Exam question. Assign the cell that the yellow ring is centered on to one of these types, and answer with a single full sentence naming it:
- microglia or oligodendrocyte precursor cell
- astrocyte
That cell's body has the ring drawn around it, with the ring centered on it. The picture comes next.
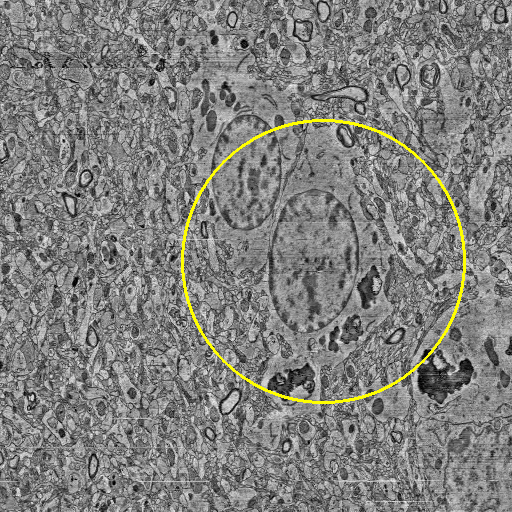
In the micrograph, the cell the yellow ring is centered on is an astrocyte.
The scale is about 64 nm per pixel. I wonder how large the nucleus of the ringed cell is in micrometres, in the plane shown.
Roughly 9 by 6 micrometres; in this plane, clearly longer than it is wide.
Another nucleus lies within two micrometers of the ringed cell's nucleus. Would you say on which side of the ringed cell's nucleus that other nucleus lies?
That nucleus lies to the upper left of it.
